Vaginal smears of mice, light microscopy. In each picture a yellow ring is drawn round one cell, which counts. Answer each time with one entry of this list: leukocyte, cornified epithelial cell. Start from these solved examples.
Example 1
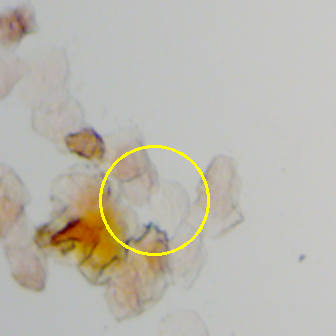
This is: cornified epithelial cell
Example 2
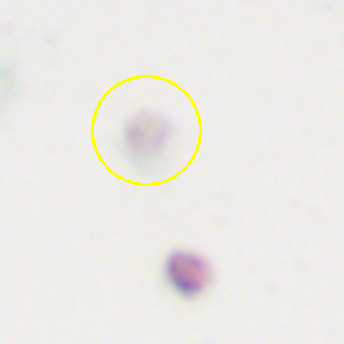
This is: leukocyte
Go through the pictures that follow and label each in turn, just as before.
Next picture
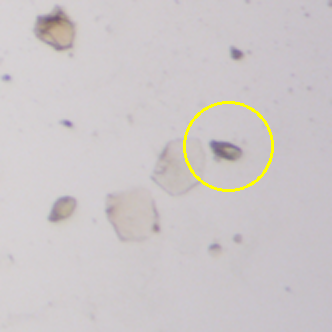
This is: cornified epithelial cell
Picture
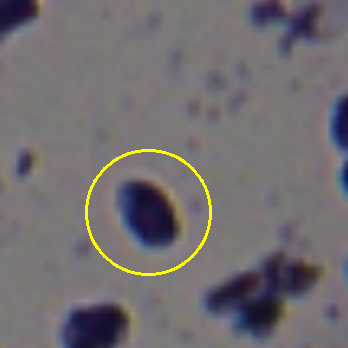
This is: leukocyte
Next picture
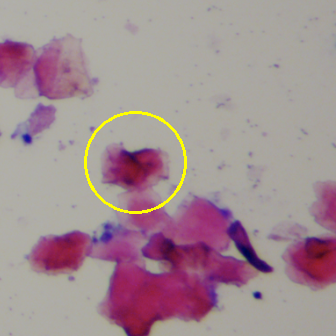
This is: cornified epithelial cell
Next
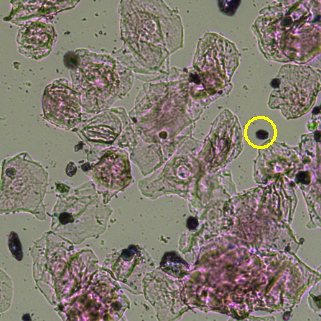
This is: leukocyte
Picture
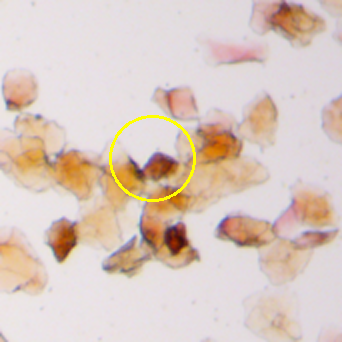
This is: cornified epithelial cell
